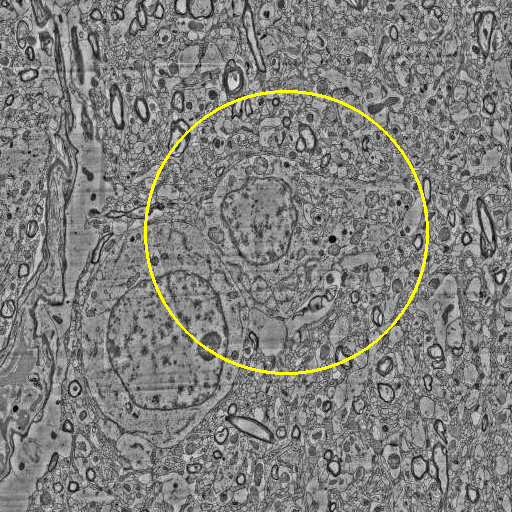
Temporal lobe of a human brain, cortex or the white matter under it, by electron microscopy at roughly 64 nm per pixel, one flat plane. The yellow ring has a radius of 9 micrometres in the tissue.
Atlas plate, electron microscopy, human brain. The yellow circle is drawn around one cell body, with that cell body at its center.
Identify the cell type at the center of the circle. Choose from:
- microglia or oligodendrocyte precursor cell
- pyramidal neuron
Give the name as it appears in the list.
pyramidal neuron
